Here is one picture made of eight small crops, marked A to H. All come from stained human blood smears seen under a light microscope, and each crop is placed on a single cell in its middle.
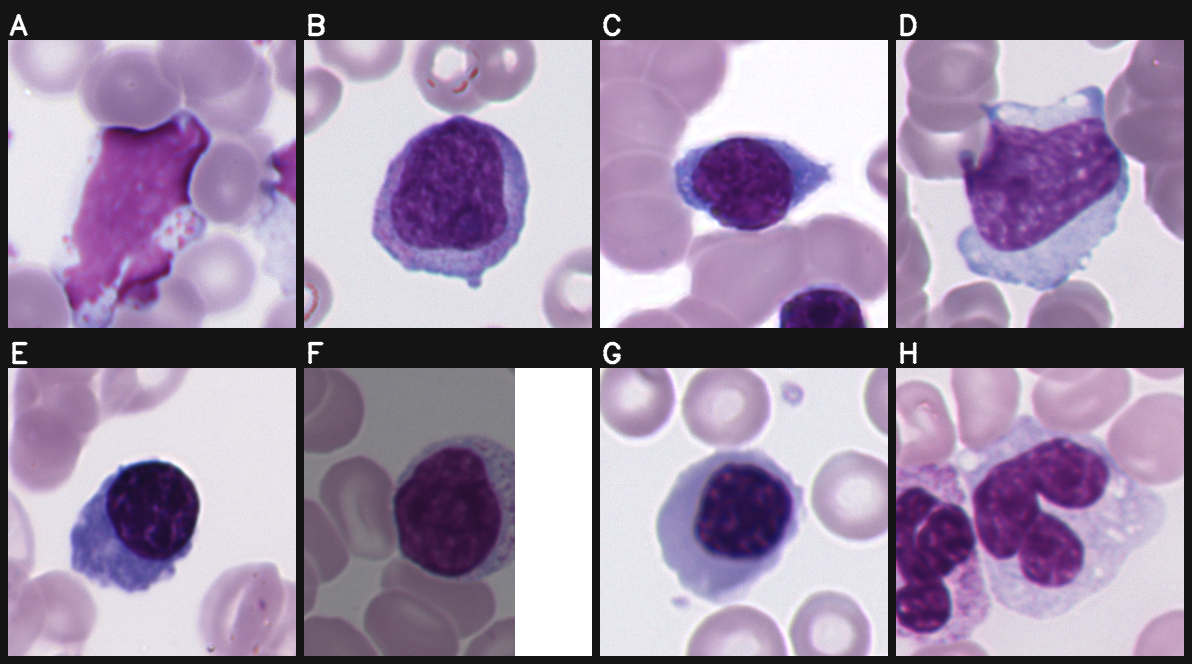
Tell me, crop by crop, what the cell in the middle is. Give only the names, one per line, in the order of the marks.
large granular lymphocyte
atypical promyelocyte
plasma cell
myeloblast
erythroblast
large granular lymphocyte
erythroblast
monocyte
